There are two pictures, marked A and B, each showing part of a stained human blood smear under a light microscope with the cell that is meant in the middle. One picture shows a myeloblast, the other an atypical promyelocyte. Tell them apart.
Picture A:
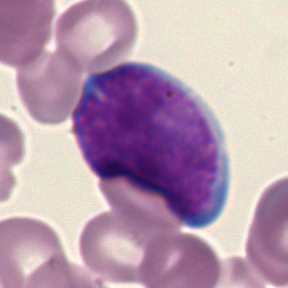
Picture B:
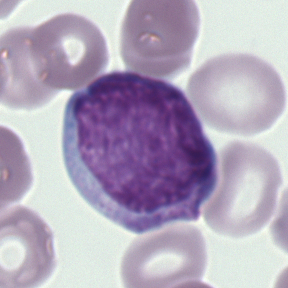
A: myeloblast
B: atypical promyelocyte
